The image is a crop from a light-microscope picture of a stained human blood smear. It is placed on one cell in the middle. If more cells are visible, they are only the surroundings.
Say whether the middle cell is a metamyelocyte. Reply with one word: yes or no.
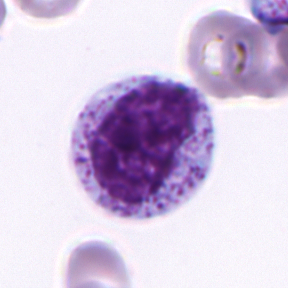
yes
